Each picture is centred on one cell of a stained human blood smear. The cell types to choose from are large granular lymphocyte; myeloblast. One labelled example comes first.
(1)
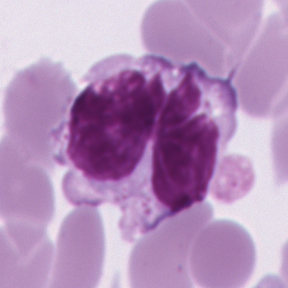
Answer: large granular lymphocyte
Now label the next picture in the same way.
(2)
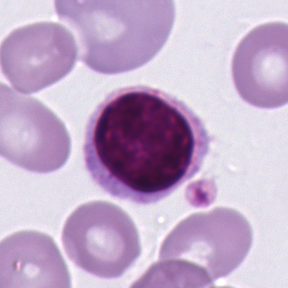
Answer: large granular lymphocyte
